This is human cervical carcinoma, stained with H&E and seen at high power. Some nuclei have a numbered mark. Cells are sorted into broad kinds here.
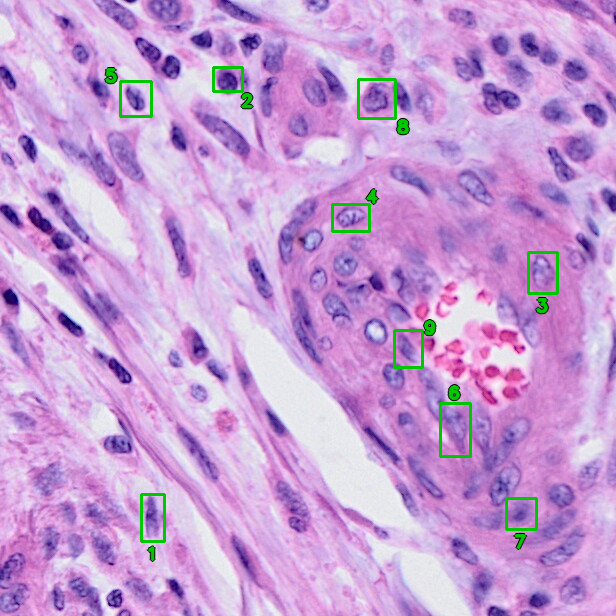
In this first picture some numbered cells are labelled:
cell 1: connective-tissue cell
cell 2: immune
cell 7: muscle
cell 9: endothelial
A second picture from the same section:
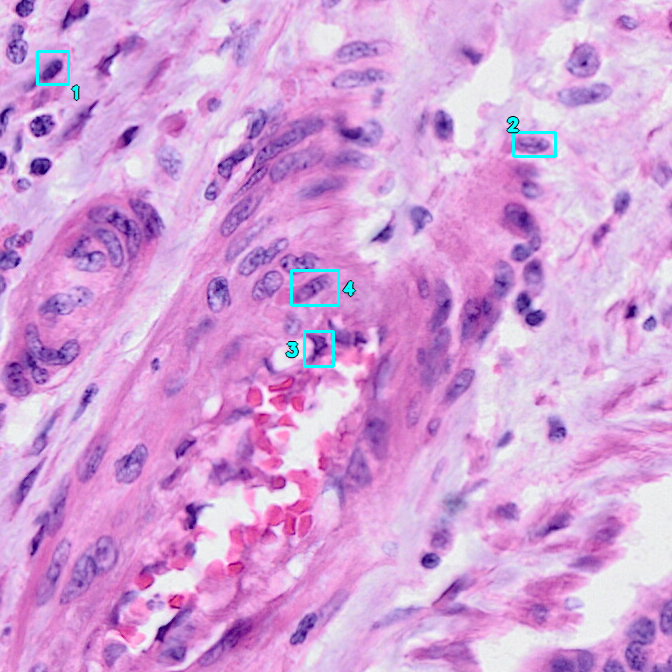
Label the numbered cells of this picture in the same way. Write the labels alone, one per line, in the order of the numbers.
immune
immune
endothelial
muscle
